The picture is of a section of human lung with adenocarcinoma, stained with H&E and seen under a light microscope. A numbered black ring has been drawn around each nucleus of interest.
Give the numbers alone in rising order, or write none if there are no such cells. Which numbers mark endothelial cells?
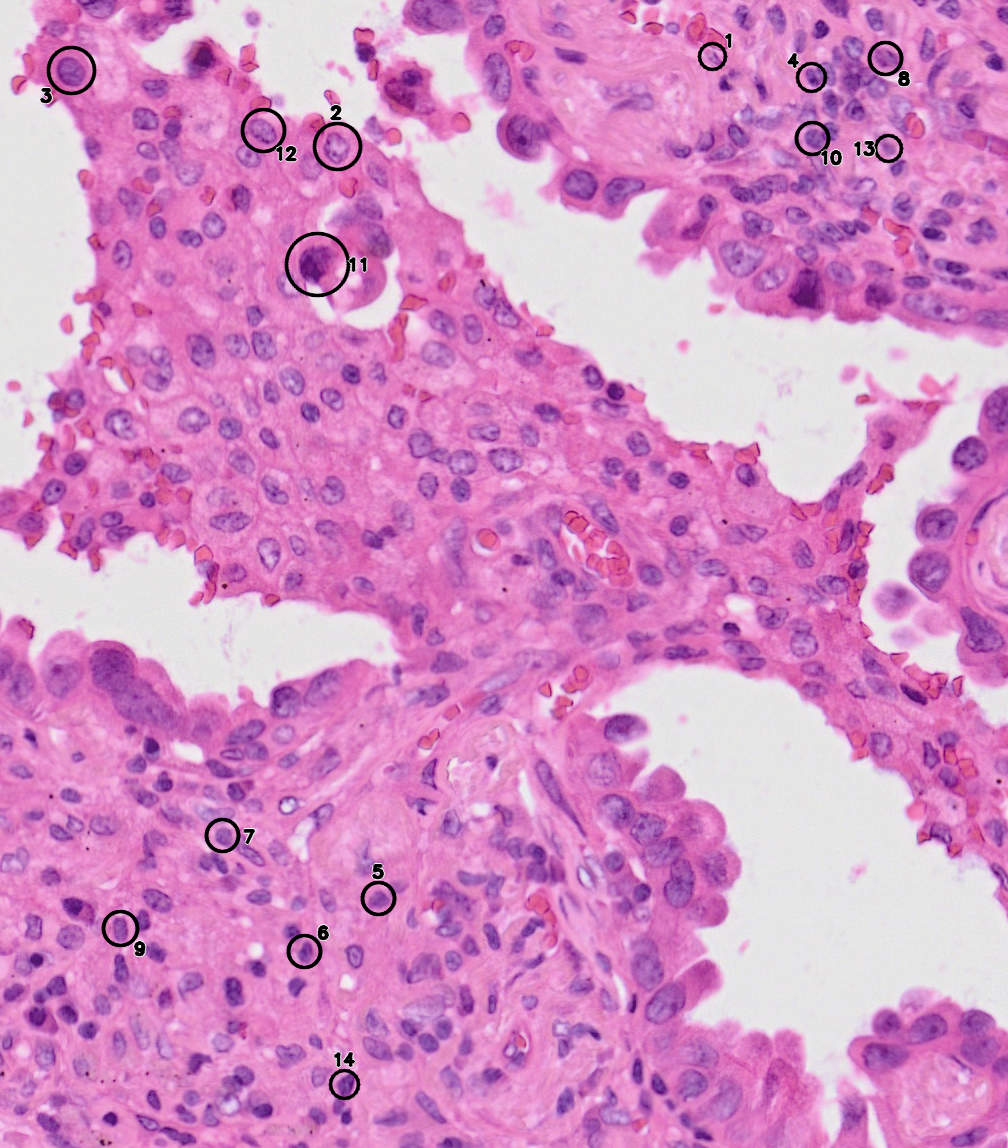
1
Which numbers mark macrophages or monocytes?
2, 3, 12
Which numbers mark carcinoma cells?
11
